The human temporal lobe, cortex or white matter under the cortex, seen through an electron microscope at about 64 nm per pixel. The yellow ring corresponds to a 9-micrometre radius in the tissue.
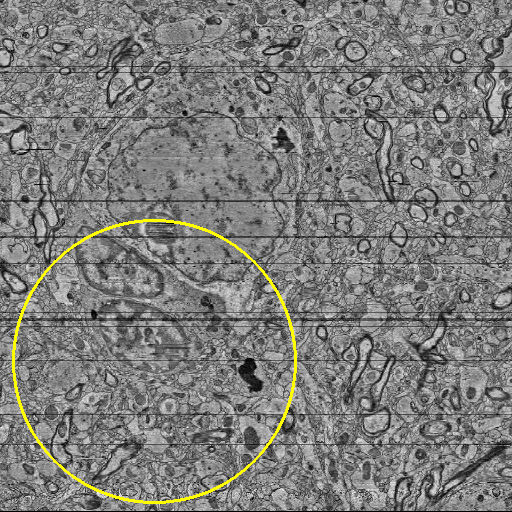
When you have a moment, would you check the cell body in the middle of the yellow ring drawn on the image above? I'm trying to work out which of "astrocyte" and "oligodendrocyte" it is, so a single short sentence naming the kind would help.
This cell body belongs to an oligodendrocyte.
